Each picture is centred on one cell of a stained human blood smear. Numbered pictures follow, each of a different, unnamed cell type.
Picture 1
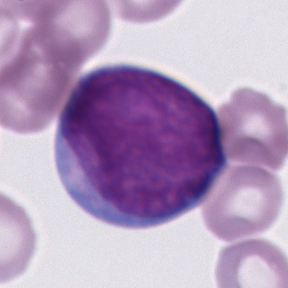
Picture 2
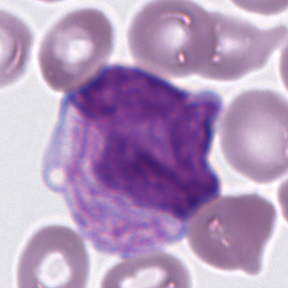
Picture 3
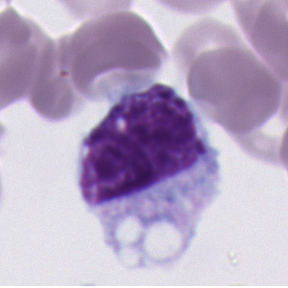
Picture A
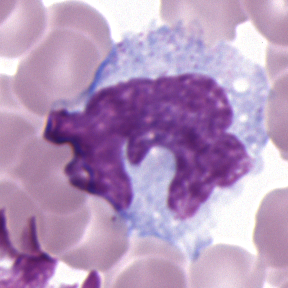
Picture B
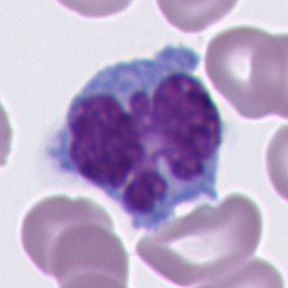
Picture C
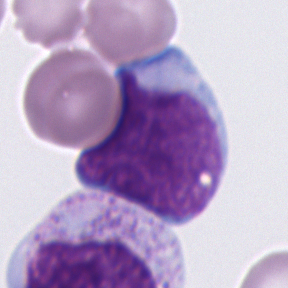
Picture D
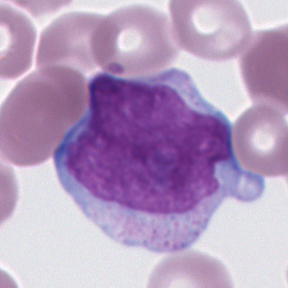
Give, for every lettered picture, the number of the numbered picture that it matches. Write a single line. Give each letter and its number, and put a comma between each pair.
A 3, B 3, C 1, D 2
